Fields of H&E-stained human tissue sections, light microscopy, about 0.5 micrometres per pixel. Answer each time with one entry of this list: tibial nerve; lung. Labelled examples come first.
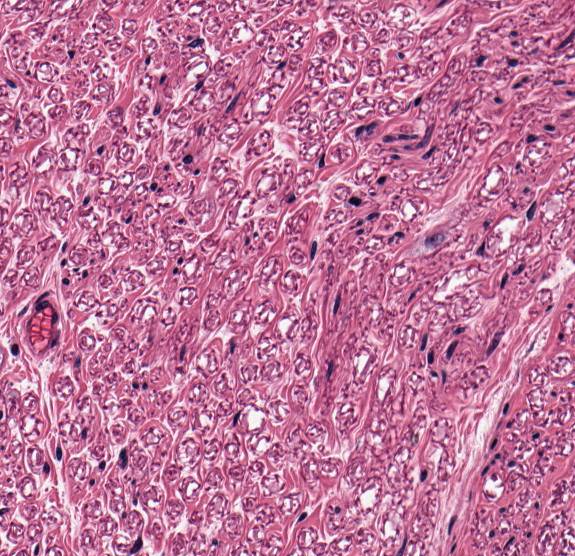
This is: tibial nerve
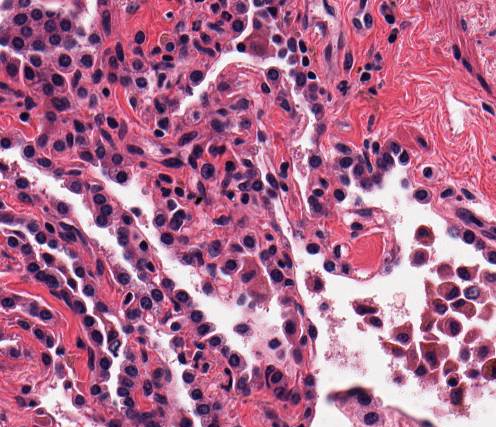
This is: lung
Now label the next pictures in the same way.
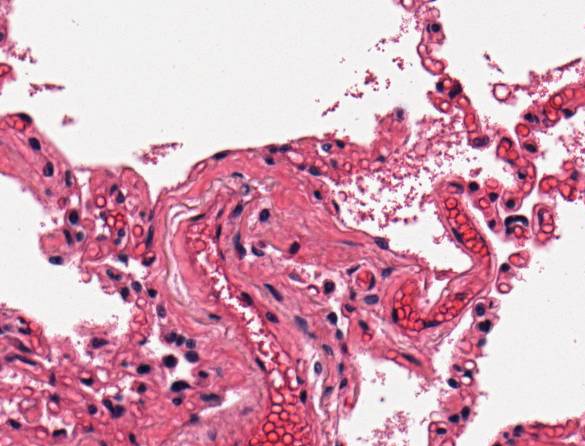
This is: lung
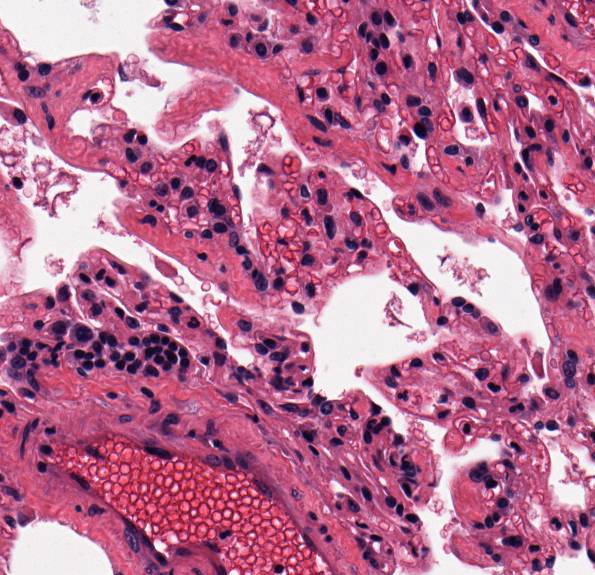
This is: lung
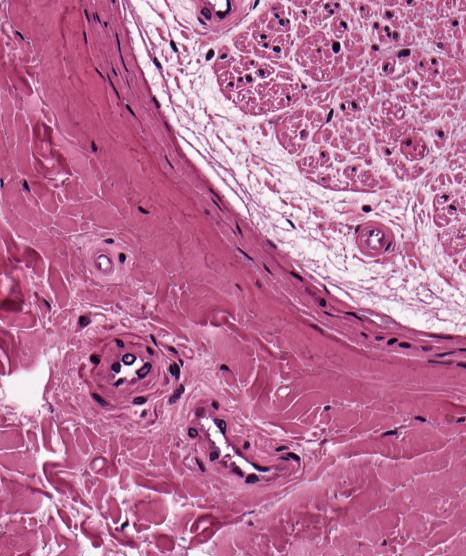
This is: tibial nerve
